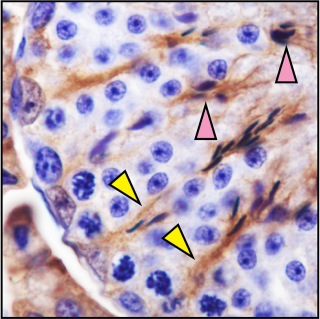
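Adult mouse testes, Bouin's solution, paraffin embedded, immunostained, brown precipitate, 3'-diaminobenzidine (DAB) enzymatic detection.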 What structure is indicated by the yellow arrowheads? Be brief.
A: Sertoli cell stalk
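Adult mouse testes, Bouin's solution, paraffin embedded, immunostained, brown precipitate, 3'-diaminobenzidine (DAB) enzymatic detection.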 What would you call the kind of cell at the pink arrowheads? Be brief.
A: Elongating and elongated spermatids.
